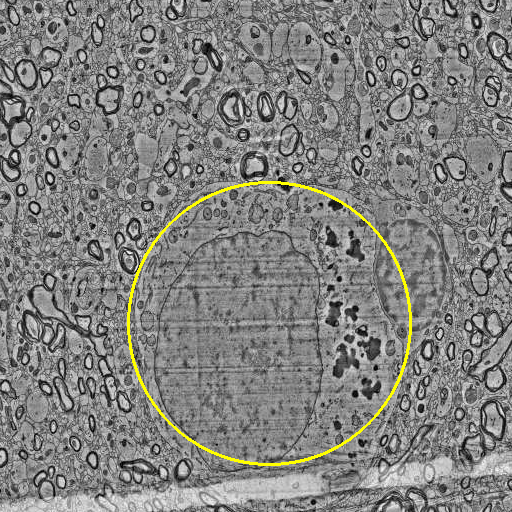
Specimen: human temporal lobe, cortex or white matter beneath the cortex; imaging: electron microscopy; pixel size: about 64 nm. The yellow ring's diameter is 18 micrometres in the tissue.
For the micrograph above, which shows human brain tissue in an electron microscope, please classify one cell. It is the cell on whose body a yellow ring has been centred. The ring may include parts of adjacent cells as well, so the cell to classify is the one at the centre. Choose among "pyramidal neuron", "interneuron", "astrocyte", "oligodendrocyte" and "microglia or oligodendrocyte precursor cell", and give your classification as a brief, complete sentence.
I classify this cell as a pyramidal neuron.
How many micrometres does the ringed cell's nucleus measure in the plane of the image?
The ringed cell's nucleus is about 16 micrometres long and 11 micrometres wide in this plane.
